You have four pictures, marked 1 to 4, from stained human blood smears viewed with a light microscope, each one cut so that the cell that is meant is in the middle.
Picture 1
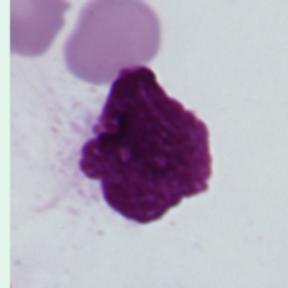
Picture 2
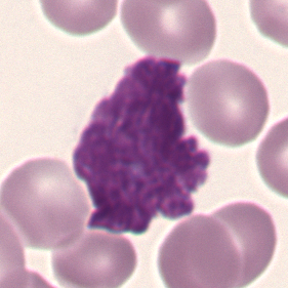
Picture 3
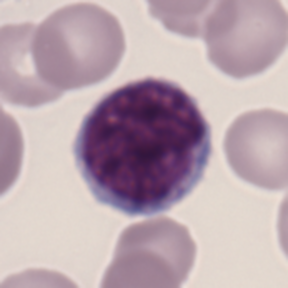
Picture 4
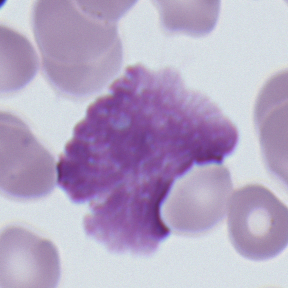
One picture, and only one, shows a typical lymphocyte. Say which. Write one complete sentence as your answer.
It is picture 3 that shows the typical lymphocyte.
